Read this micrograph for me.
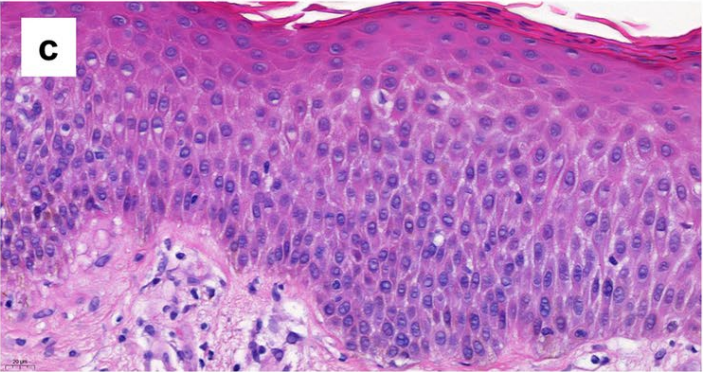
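Epidermis made of stratified squamous keratinocytes, from a darker basal layer over the dermis to flattened pink cells and thin keratin flakes at the surface. The keratinocytes have oval nuclei and pink cytoplasm, and the spaces between them are widened, with small clear gaps between cells showing spongiosis. Beneath the basal layer lies loose pale dermis with a few small vessels and scattered inflammatory cells.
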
